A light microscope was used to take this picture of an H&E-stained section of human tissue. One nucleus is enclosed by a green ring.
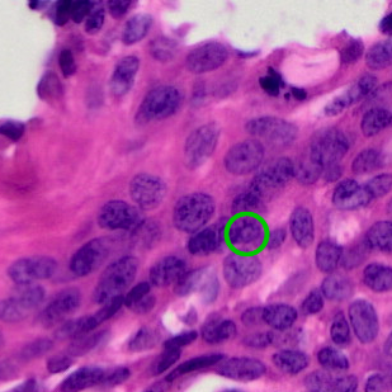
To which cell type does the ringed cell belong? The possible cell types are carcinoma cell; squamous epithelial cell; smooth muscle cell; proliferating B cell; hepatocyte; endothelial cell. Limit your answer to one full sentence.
In this section of tissue, the ringed cell is a carcinoma cell.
